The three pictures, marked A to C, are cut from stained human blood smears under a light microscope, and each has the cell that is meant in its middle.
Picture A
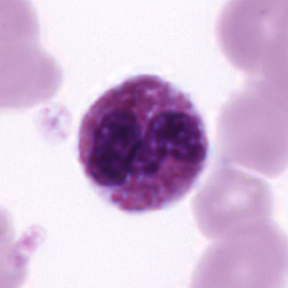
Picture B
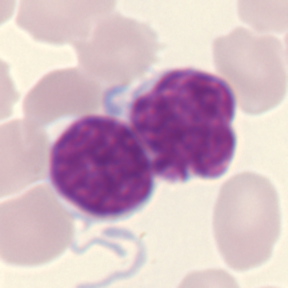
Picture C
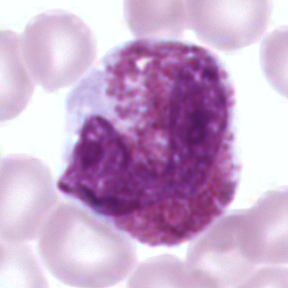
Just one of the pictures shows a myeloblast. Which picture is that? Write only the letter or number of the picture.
B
